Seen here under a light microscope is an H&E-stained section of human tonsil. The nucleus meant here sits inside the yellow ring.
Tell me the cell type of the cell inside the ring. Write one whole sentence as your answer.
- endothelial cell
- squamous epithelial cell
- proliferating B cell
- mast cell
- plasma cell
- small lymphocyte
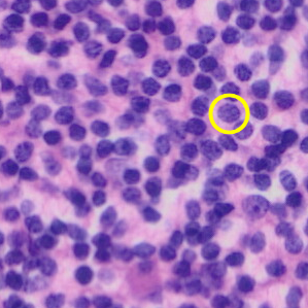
This is a small lymphocyte.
